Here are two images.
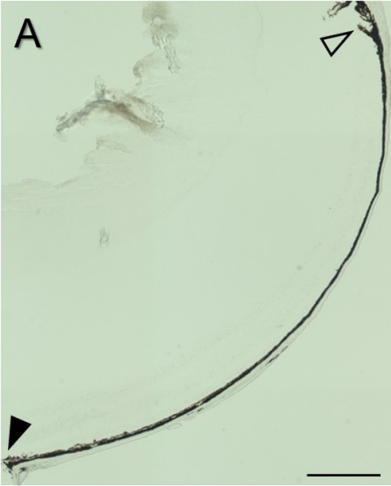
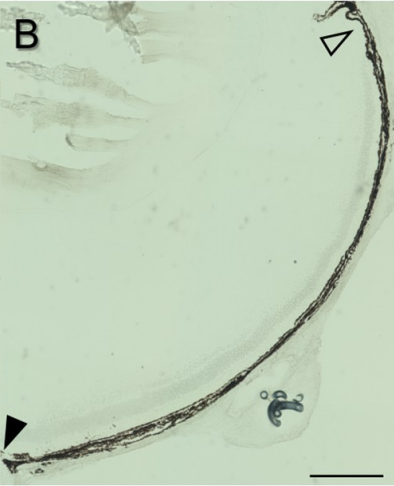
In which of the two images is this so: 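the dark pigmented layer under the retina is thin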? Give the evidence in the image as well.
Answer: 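The first image. Second image: the pigmented band along the outer curve is broad, with loose strands and spaces. First image: the pigmented band along the outer curve is a narrow, compact dark line.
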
